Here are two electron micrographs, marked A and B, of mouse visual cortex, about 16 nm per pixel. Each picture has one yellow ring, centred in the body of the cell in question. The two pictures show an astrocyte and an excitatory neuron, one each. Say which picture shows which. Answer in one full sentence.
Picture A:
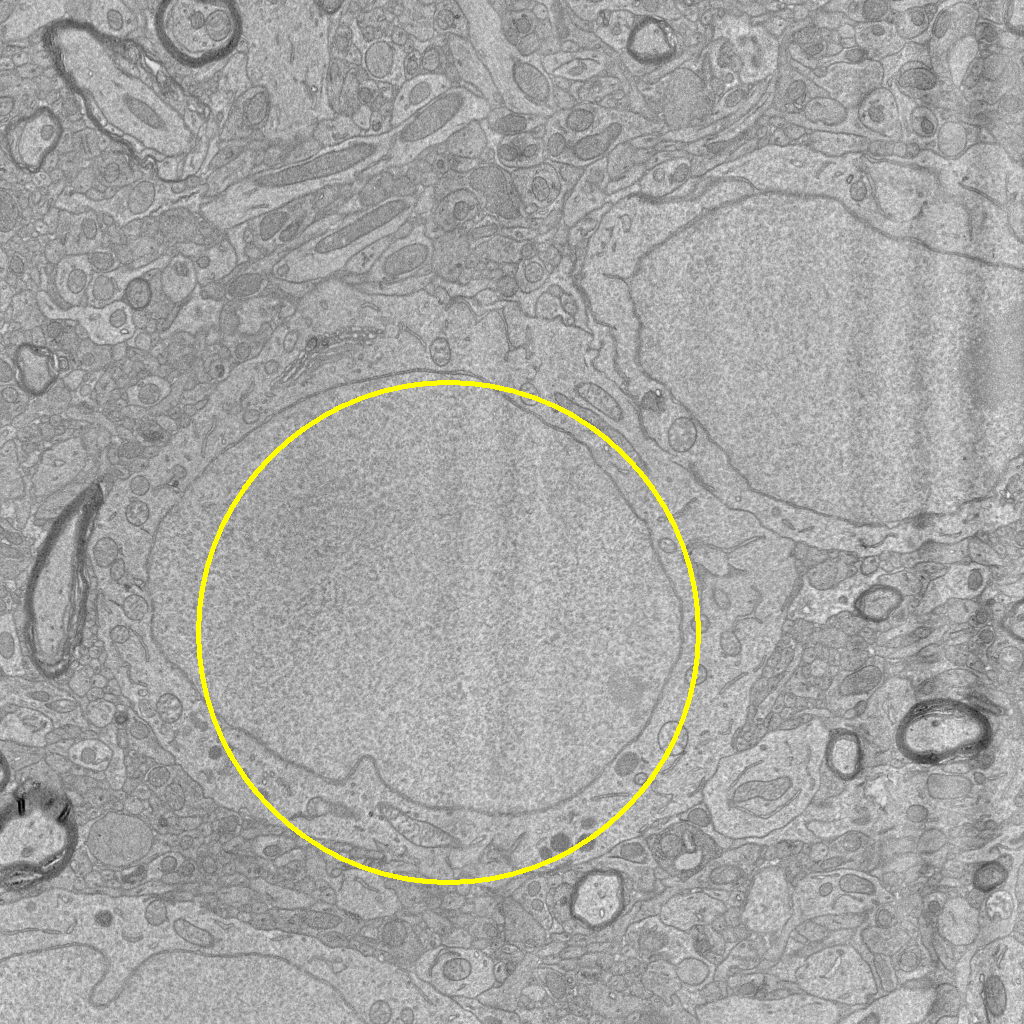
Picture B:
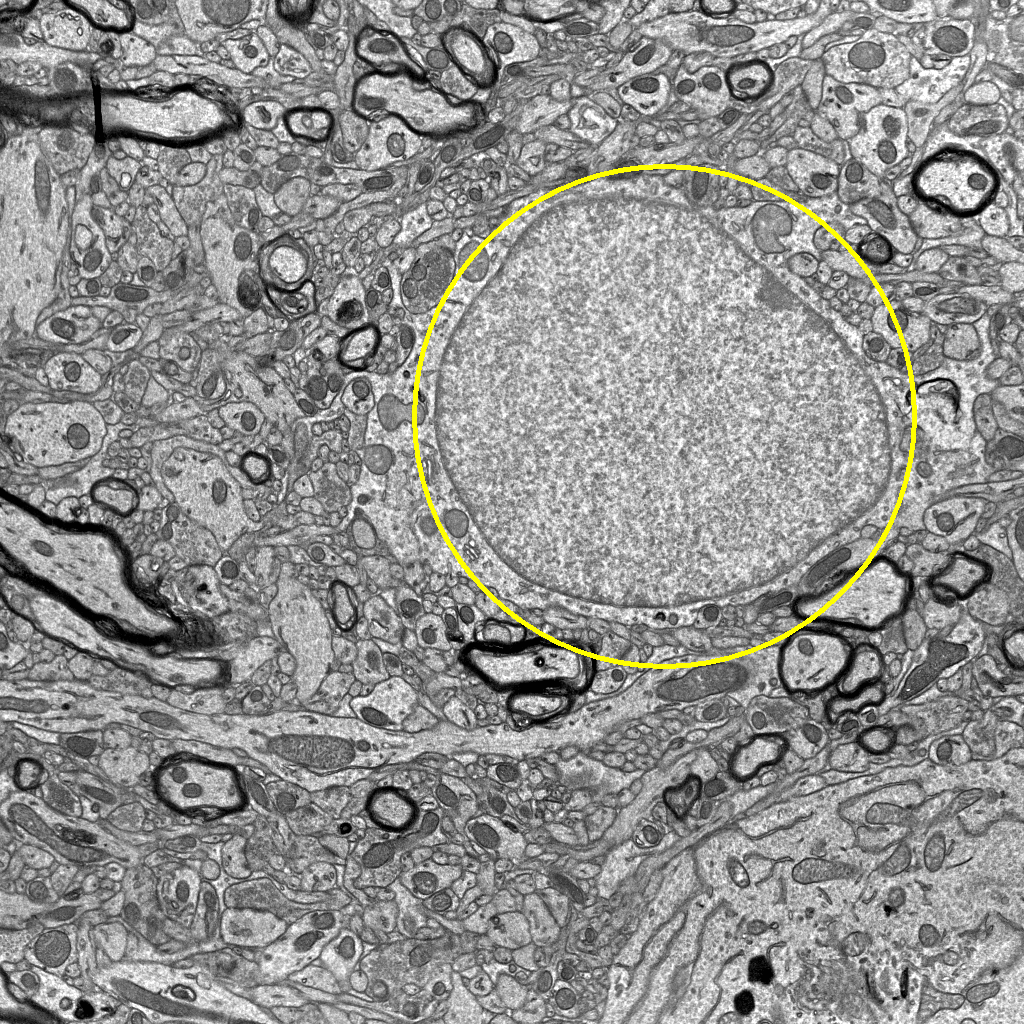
Picture B shows an astrocyte, while picture A shows an excitatory neuron.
